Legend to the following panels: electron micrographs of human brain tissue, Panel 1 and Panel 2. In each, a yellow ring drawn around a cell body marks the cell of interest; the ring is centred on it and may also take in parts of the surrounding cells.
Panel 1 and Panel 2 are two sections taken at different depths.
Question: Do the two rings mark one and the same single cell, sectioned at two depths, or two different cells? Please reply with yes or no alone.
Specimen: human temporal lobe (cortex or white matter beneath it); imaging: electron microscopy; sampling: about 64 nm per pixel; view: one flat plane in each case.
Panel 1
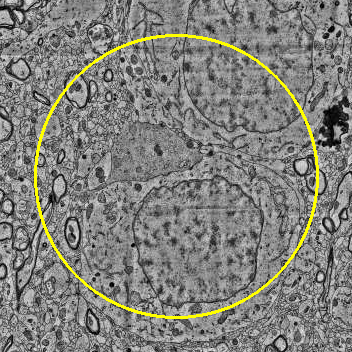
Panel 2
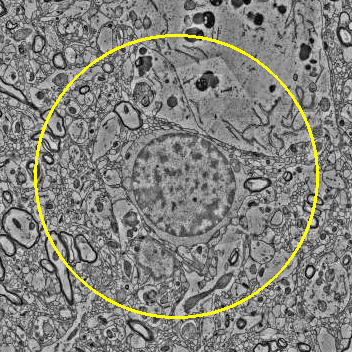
yes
